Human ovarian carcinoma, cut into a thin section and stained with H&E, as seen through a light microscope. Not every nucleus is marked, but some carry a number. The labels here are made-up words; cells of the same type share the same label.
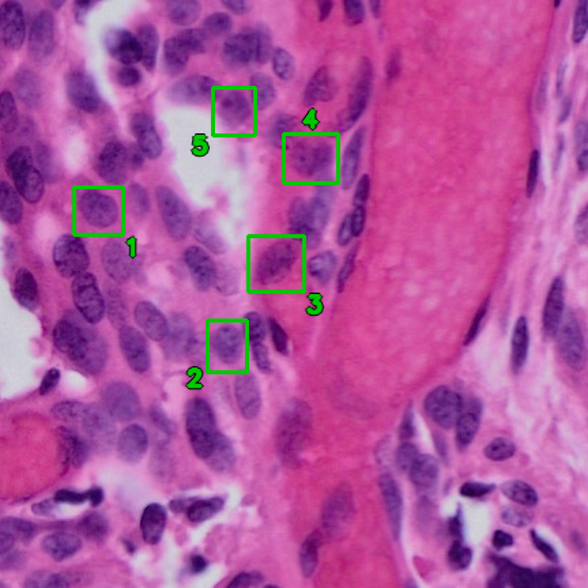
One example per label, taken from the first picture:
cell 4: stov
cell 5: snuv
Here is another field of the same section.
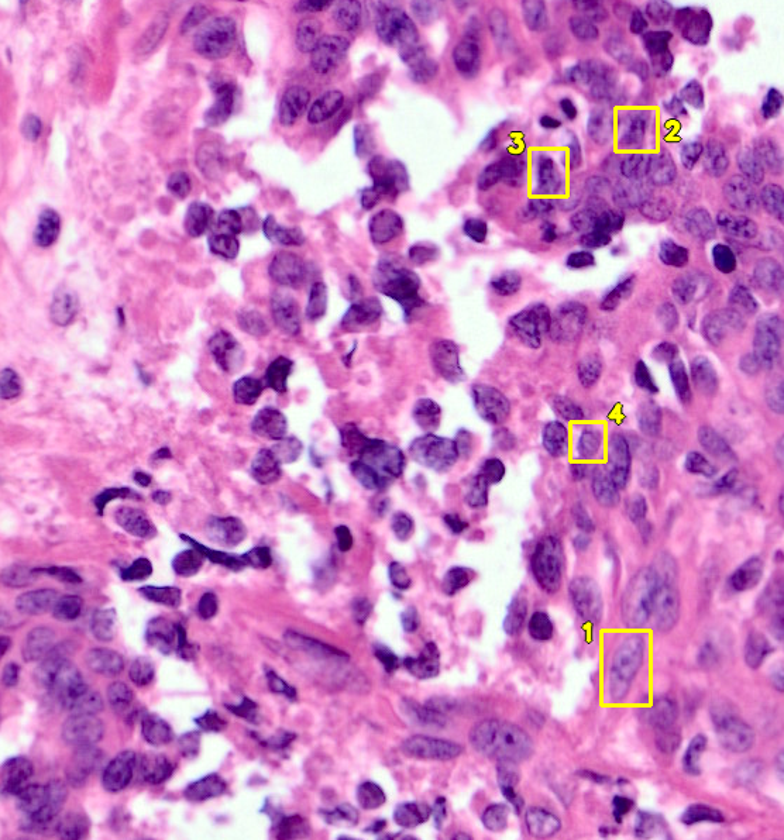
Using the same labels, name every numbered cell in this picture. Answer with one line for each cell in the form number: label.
1: stov
2: snuv
3: snuv
4: snuv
